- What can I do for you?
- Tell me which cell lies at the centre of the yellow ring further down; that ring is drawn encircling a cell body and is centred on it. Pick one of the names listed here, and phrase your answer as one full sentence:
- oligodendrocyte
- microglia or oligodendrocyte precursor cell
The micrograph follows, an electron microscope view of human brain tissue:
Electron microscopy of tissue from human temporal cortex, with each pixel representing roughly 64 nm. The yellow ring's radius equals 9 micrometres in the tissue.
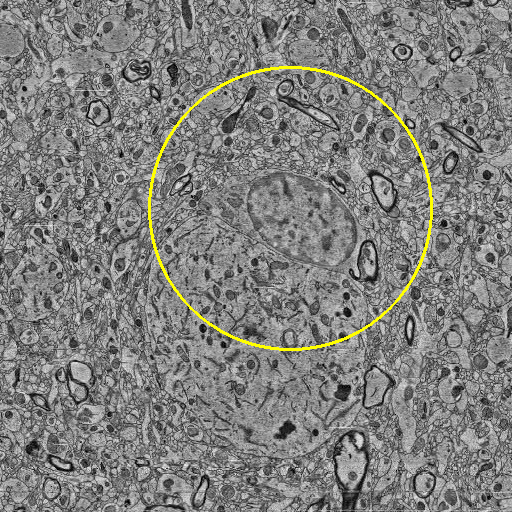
The cell whose body lies at the centre of the yellow ring is an oligodendrocyte.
